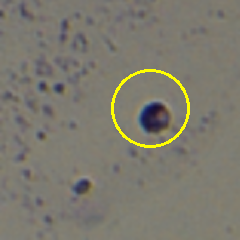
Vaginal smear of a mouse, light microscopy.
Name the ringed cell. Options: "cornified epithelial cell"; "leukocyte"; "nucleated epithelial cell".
leukocyte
